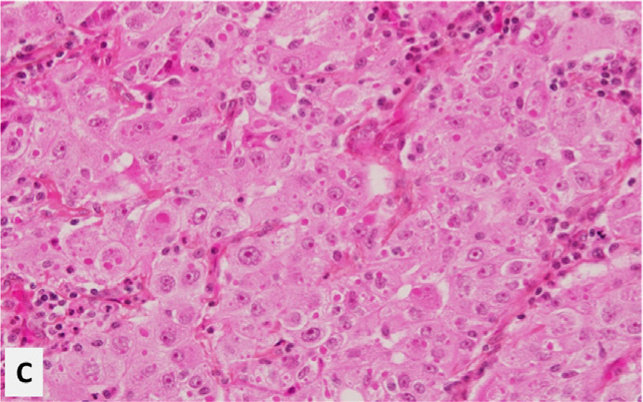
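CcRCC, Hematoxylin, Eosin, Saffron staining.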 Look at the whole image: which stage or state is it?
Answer: Eosinophilic feature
